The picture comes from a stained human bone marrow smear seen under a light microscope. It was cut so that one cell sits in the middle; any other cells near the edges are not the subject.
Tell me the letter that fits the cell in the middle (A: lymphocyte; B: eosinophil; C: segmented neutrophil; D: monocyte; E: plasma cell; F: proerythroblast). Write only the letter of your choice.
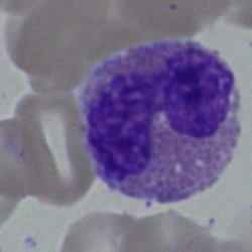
B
